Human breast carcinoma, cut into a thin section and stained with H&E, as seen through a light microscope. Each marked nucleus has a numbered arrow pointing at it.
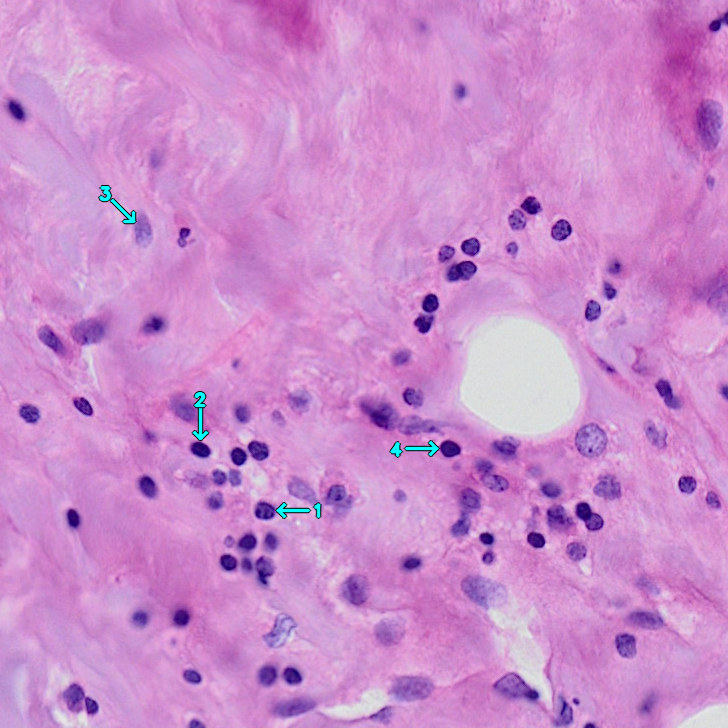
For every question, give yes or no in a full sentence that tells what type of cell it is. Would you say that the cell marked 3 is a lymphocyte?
No, instead of a lymphocyte, the cell with number 3 is a fibroblast.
